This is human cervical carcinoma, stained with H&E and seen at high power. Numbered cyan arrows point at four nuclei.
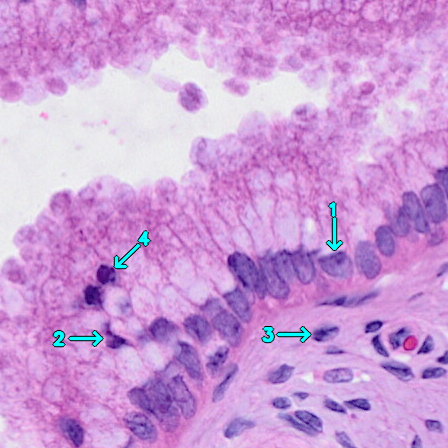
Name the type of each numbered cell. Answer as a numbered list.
1. secretory epithelial cell
2. secretory epithelial cell
3. fibroblast
4. secretory epithelial cell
